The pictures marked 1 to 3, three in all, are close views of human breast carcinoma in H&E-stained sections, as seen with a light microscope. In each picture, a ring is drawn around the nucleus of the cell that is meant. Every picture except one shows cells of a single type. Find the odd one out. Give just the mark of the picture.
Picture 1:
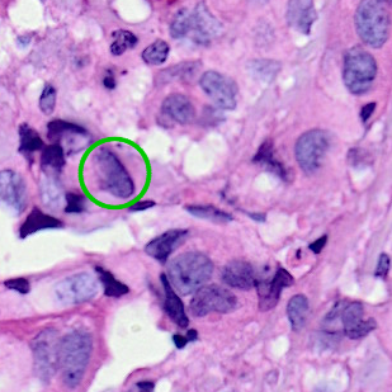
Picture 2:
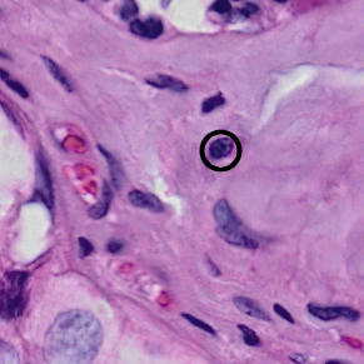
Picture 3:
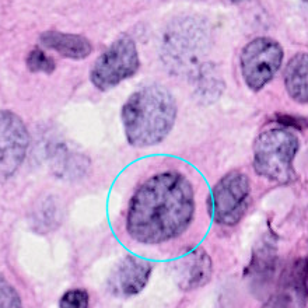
2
